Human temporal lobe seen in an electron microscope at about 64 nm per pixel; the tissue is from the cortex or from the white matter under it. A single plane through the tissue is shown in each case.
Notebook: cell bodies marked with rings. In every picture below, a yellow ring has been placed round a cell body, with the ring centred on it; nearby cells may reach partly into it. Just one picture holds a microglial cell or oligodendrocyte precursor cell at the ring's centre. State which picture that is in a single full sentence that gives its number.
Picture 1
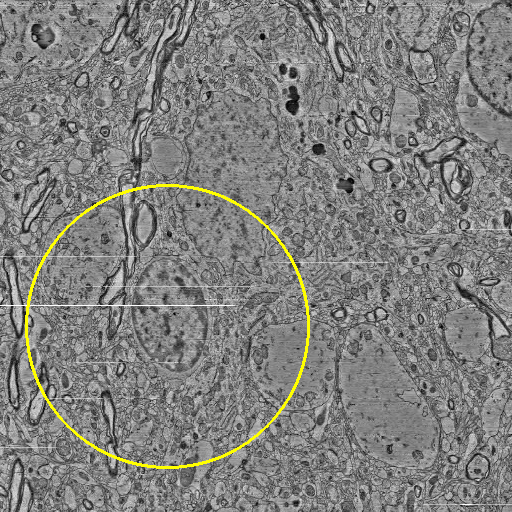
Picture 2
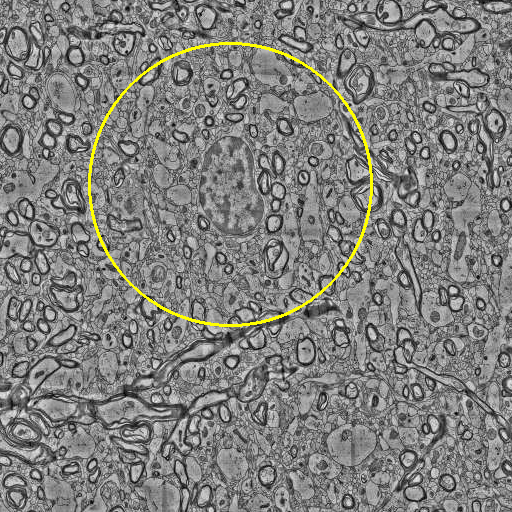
It is picture 2 whose ring has the wanted cell right at its centre.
